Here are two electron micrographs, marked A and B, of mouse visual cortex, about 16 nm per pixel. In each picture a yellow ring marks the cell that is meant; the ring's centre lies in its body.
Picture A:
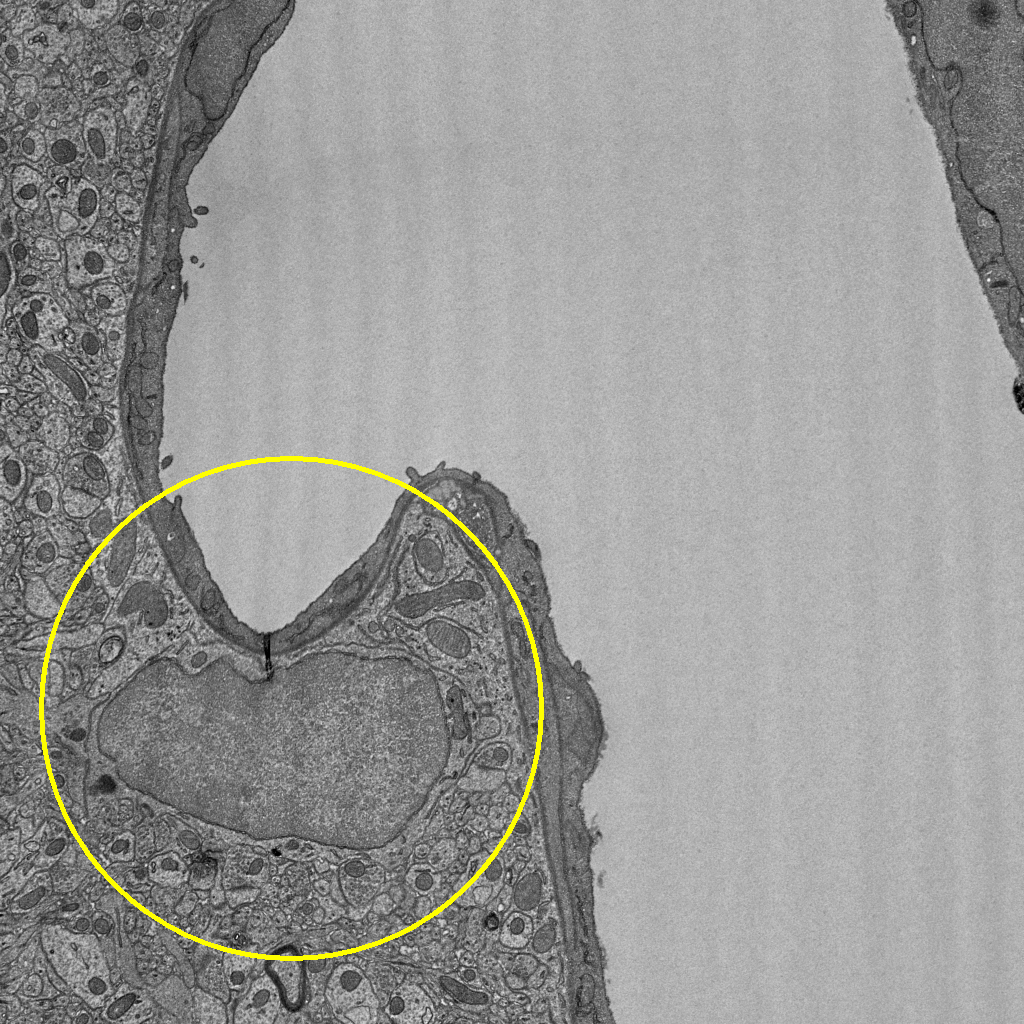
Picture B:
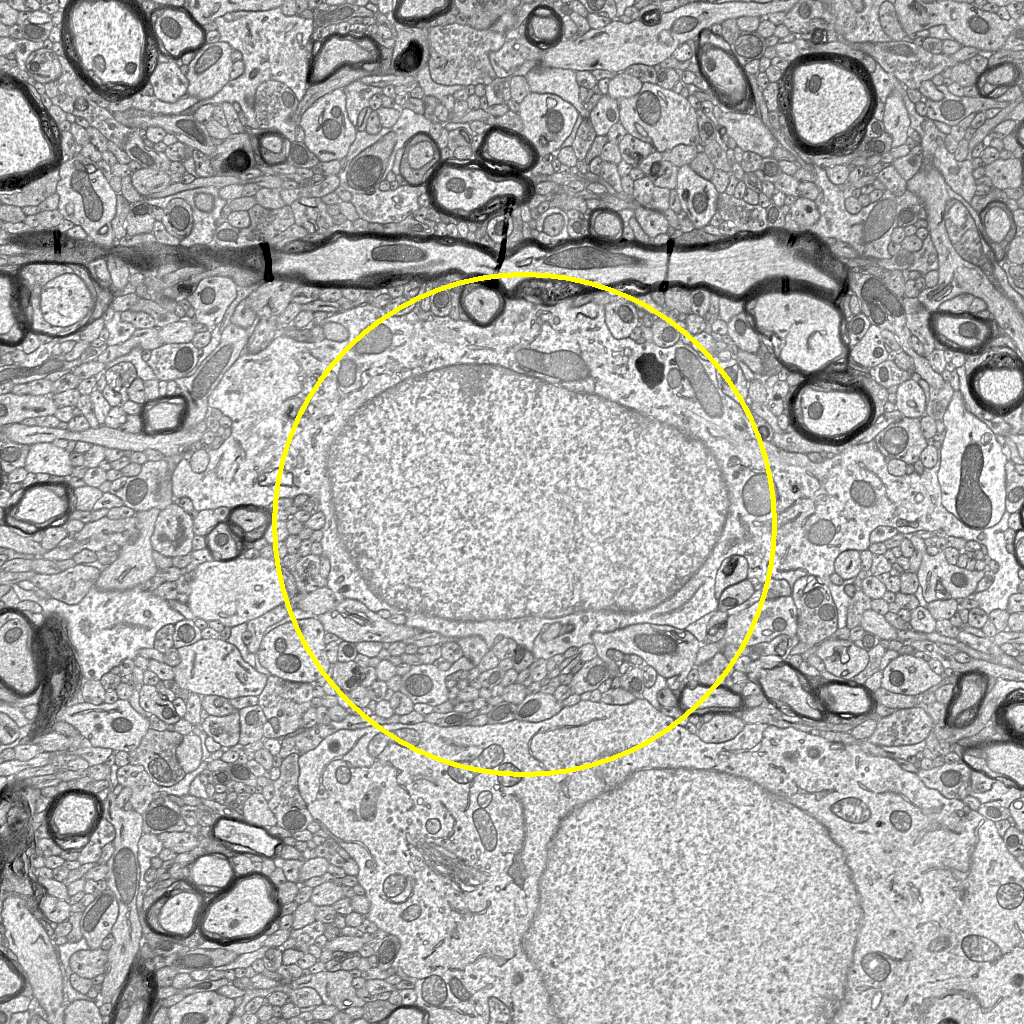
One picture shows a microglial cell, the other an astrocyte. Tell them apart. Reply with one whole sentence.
The cell in picture A is a microglial cell, and the one in picture B is an astrocyte.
